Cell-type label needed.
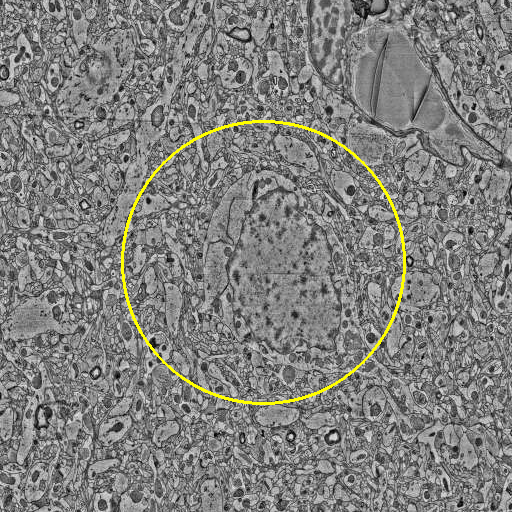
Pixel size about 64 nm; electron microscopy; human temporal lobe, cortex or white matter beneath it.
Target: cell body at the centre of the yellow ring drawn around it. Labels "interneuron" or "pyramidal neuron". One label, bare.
interneuron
